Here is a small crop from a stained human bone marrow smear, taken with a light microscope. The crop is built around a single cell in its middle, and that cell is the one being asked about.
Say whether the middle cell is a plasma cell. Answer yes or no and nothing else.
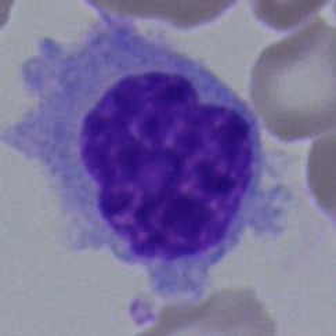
no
